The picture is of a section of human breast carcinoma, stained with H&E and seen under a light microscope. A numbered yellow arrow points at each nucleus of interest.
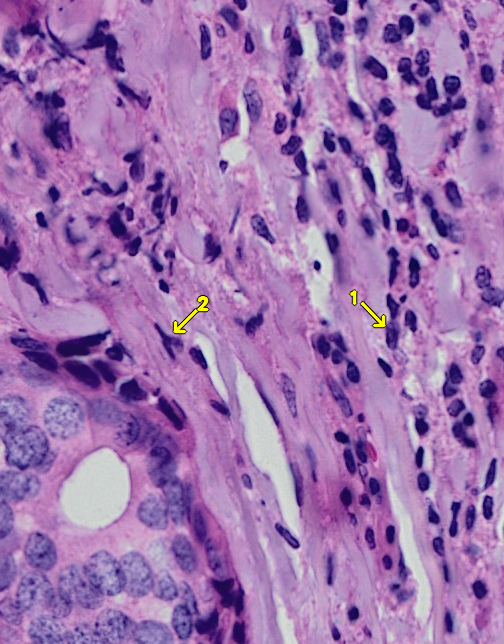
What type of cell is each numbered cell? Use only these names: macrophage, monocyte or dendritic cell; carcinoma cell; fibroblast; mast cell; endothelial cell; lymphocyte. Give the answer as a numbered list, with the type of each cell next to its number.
1. lymphocyte
2. fibroblast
